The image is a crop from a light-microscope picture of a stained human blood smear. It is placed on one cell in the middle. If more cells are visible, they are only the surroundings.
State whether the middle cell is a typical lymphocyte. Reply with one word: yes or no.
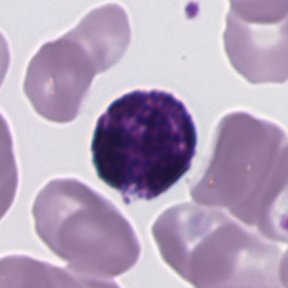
no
